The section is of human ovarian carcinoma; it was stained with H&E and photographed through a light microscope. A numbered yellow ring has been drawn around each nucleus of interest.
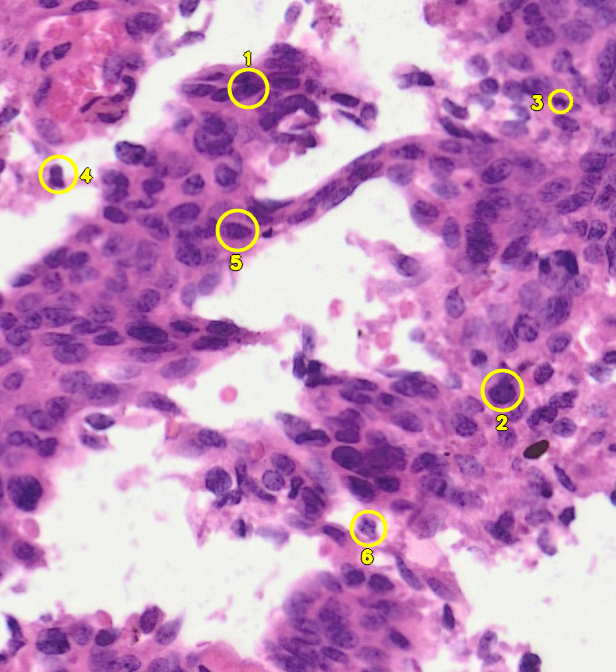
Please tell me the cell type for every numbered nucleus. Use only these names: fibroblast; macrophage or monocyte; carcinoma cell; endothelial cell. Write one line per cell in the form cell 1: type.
cell 1: carcinoma cell
cell 2: carcinoma cell
cell 3: macrophage or monocyte
cell 4: carcinoma cell
cell 5: carcinoma cell
cell 6: macrophage or monocyte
